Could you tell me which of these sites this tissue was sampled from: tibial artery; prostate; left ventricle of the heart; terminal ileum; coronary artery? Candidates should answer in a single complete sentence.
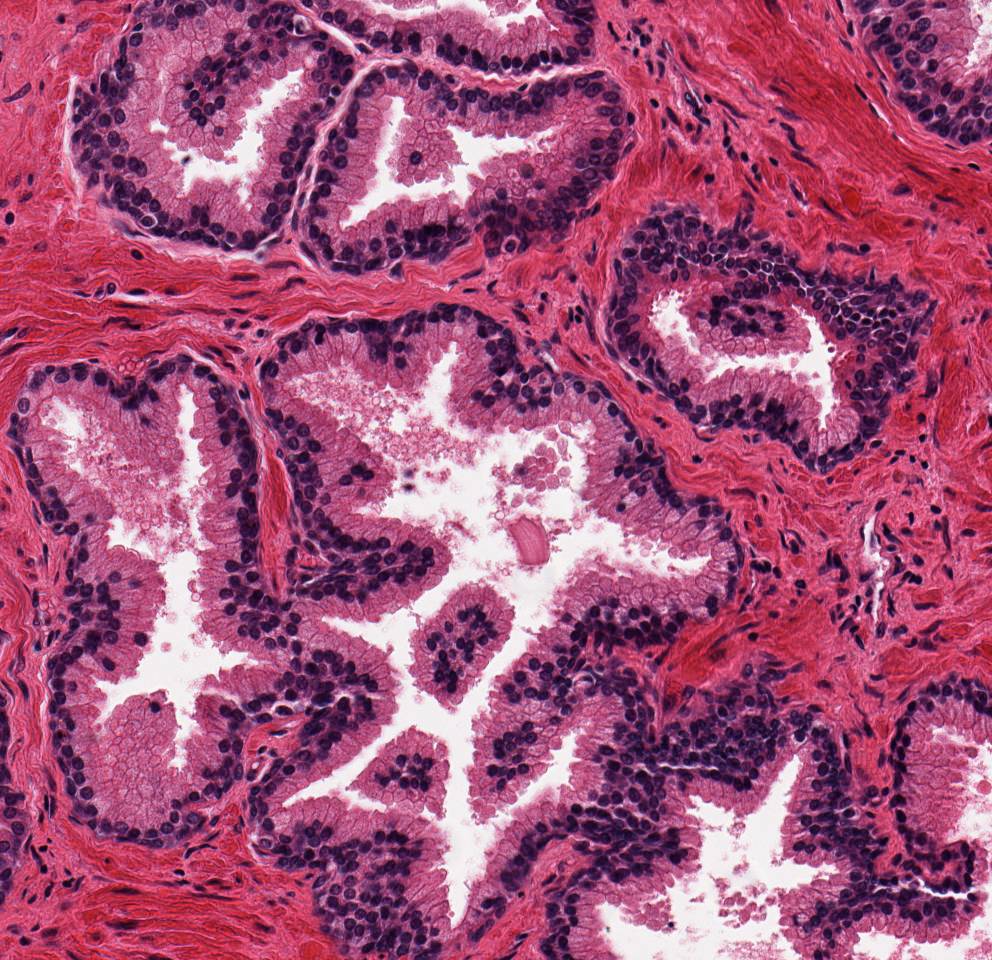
The tissue sectioned for this slide came from the prostate.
